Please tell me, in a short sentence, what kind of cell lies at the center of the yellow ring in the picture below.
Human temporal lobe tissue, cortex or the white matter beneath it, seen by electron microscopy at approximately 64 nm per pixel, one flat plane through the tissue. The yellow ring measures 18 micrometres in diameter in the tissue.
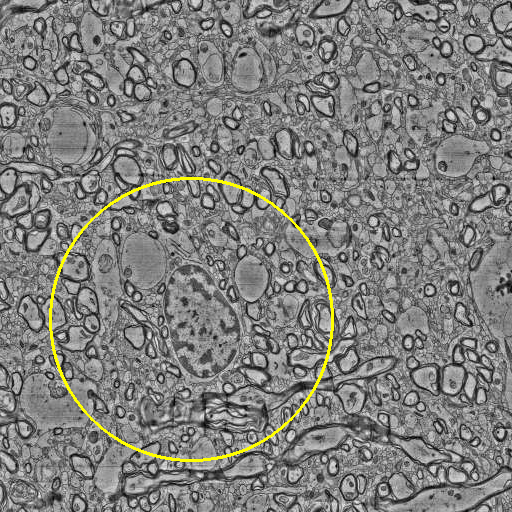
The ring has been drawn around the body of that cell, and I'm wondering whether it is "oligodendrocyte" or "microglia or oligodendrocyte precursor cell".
The cell at the center of the ring is a microglial cell or oligodendrocyte precursor cell.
